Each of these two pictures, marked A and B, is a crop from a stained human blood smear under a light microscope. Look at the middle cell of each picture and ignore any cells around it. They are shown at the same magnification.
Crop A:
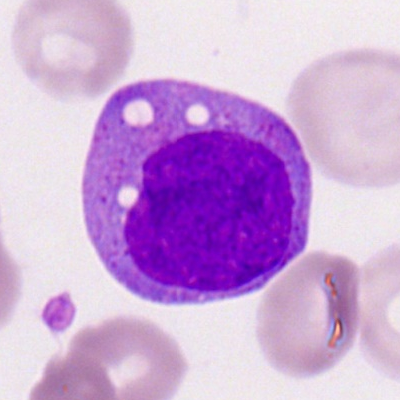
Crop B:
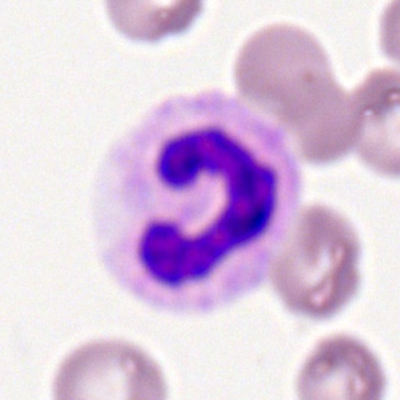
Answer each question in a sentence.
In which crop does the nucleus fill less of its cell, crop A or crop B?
In crop B the nucleus takes up the smaller part of its cell.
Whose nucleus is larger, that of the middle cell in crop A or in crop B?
It is the nucleus in crop A, about 2 times as large in area as the one in crop B.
